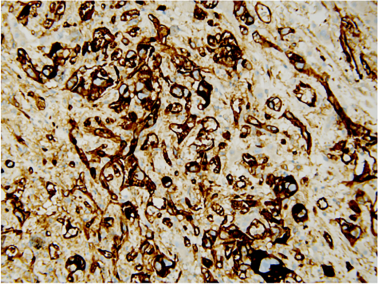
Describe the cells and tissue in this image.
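The brown stain outlines cells and rims small irregular spaces, giving a meshwork of rings and cords across the field. Between the stained outlines the background is pale yellowish with little counterstain. The staining is diffuse across nearly the whole field rather than confined to scattered cells.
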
